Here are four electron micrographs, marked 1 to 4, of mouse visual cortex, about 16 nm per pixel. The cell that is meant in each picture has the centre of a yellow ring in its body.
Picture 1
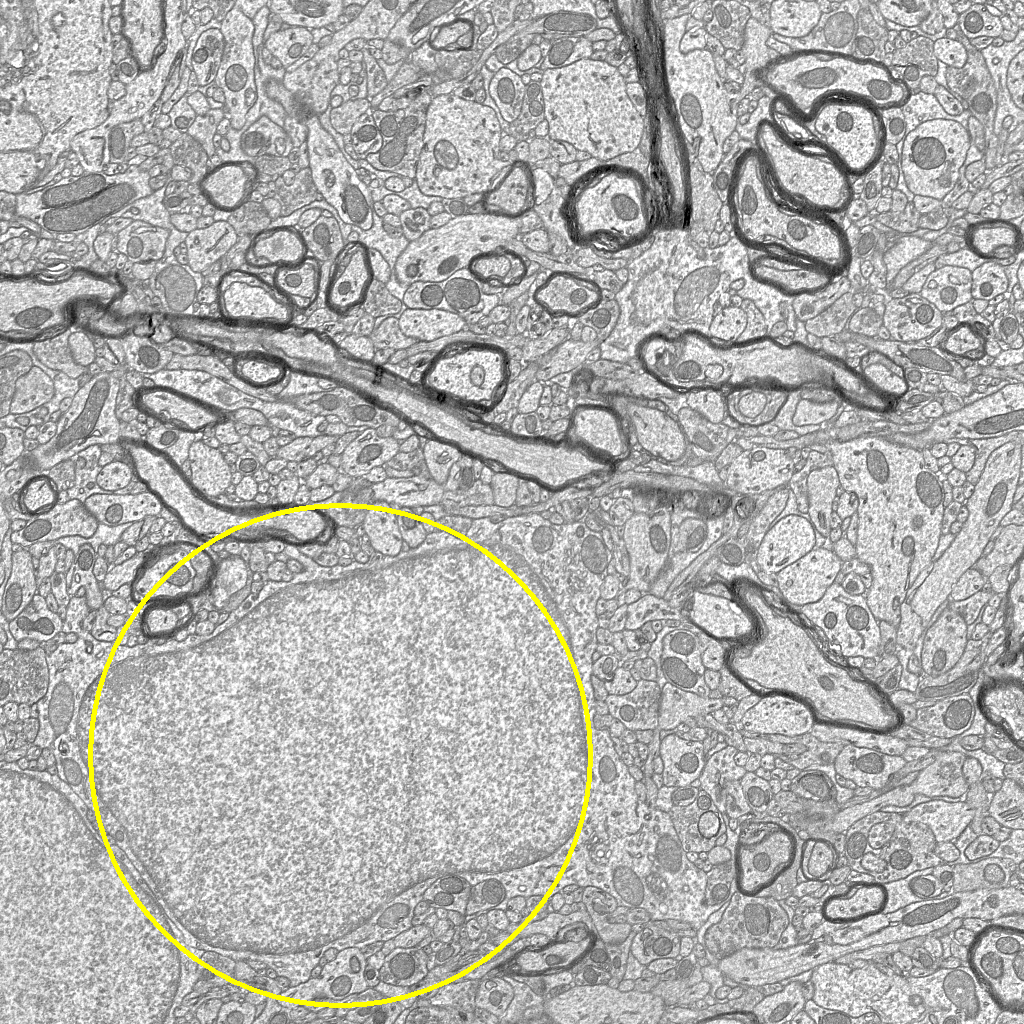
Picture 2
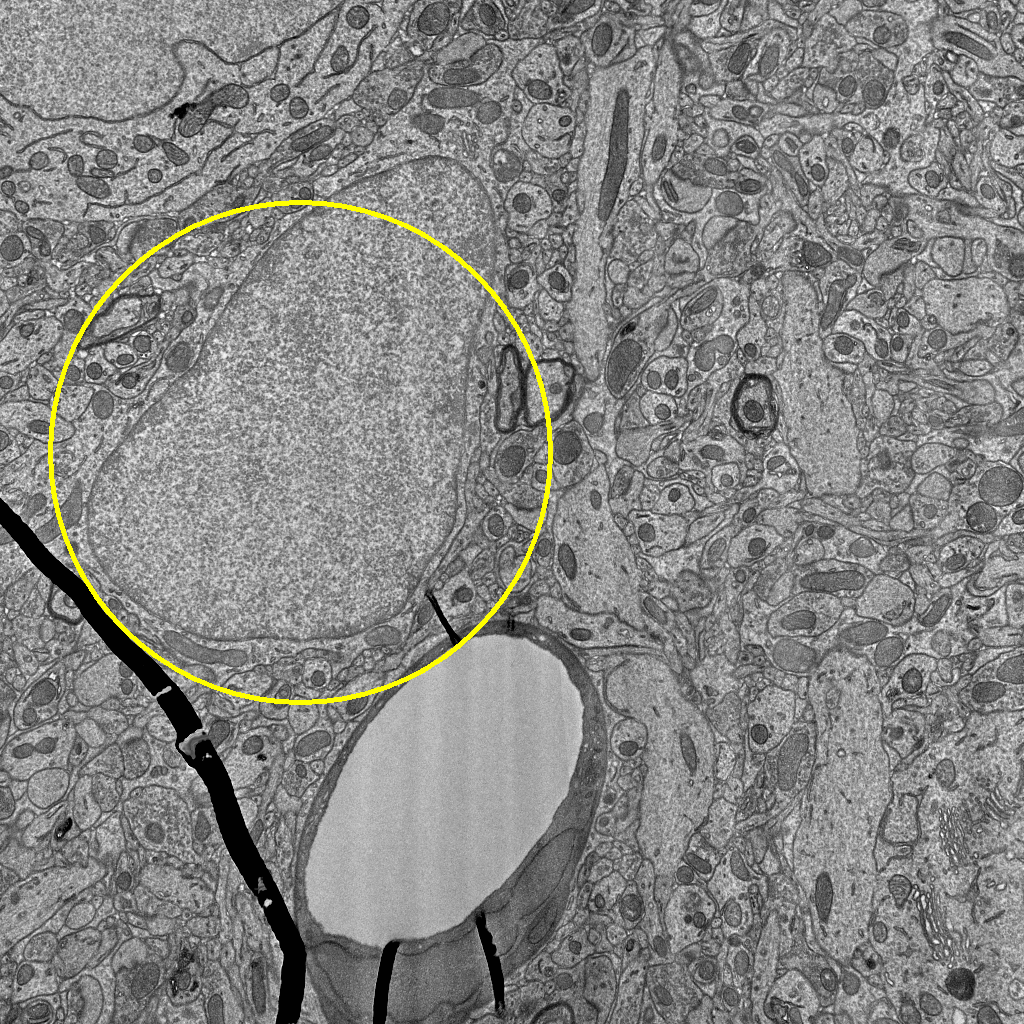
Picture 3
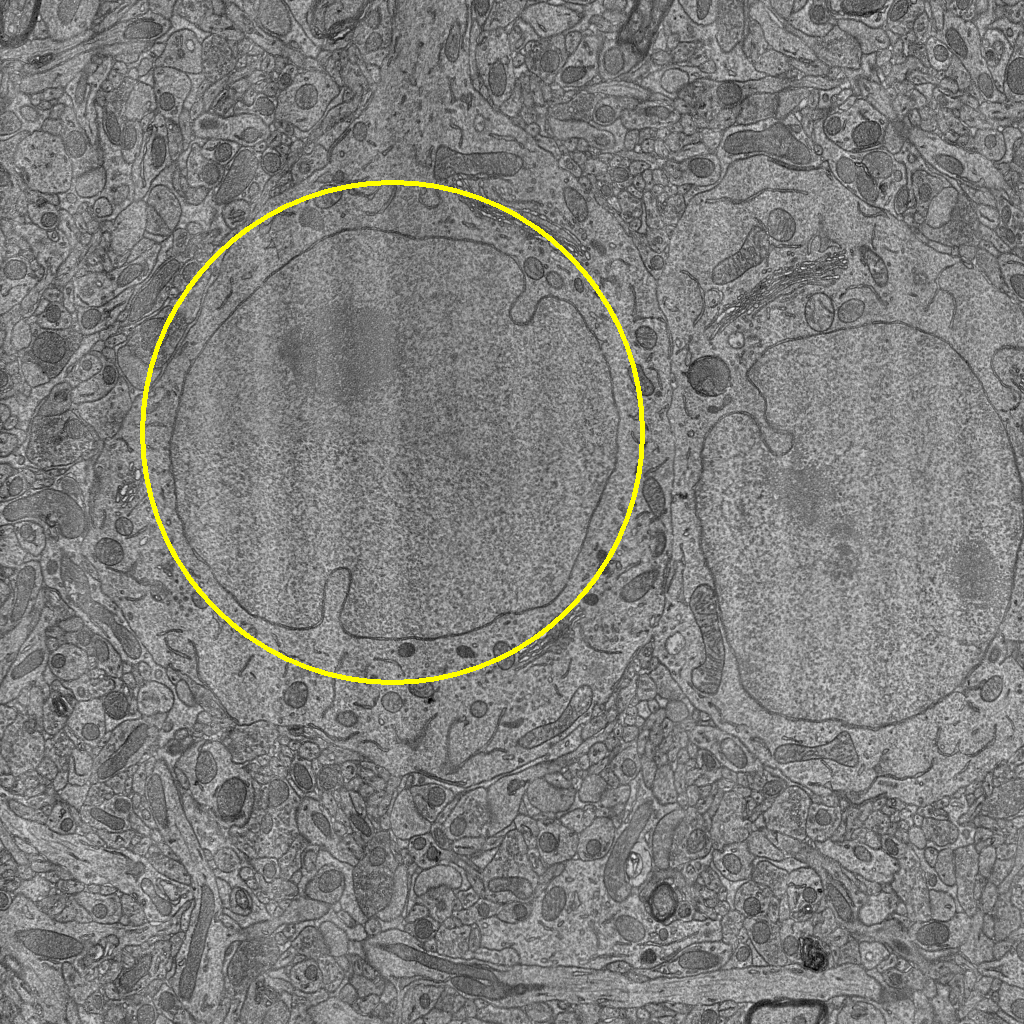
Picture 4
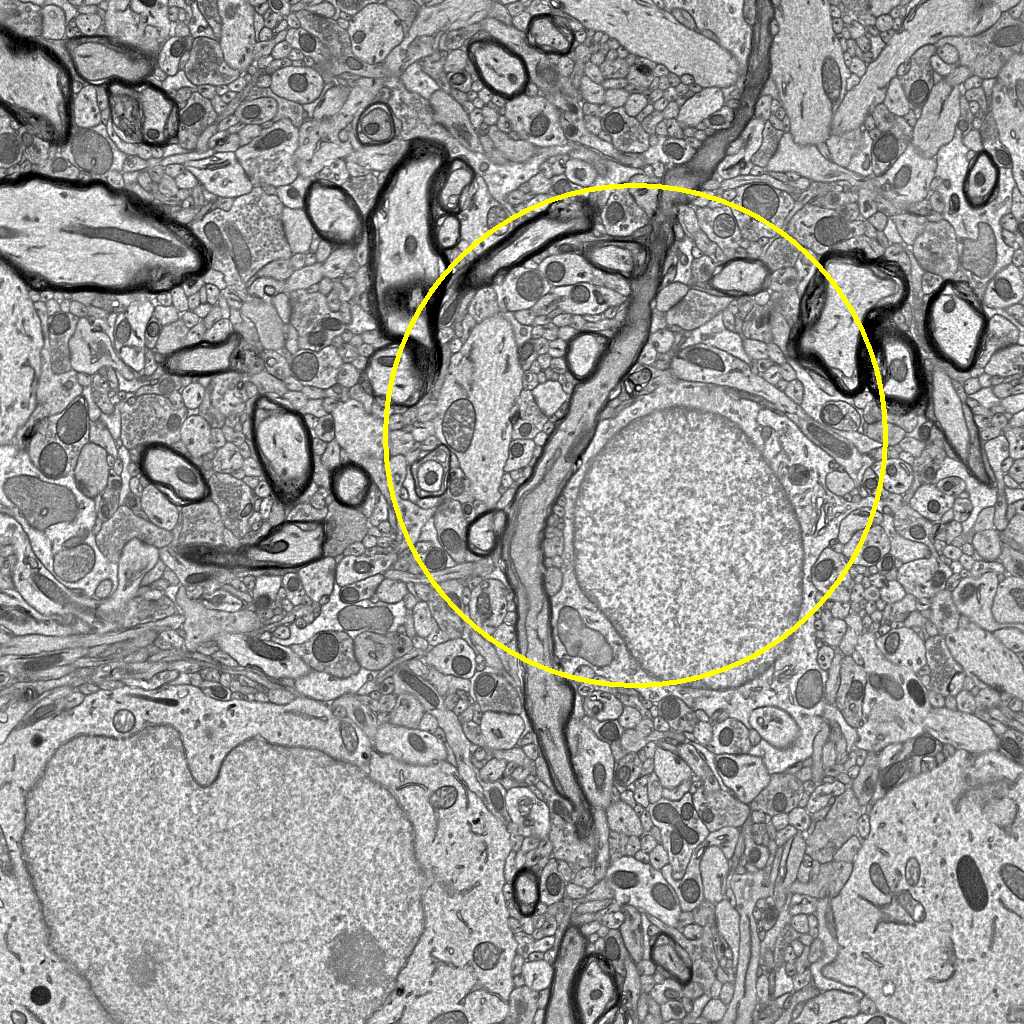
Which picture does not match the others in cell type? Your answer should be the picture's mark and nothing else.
3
